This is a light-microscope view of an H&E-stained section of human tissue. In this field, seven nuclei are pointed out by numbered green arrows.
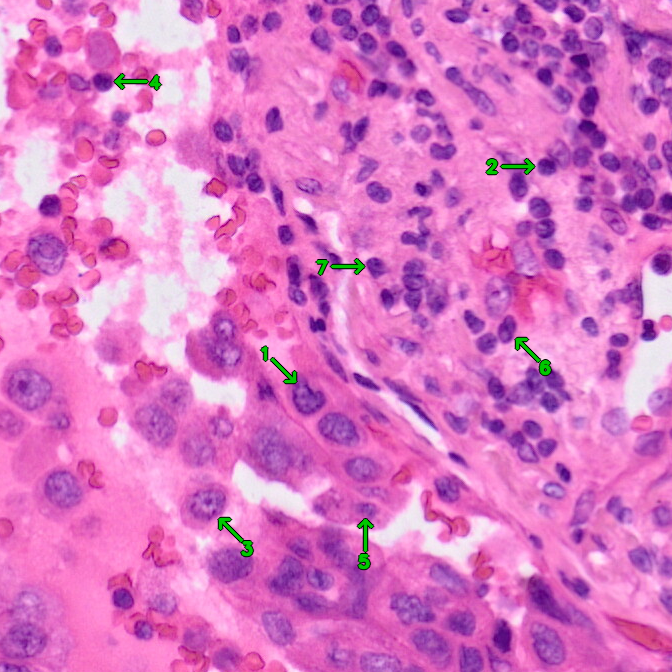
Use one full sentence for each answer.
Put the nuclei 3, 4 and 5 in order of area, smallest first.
The order from the smallest nucleus to the largest is 5, 4, 3.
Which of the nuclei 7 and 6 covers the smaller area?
Nucleus 7 covers less area, with nucleus 6 about 1.5 times as large.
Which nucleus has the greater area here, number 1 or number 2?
It is nucleus 1, which covers about 2.5 times the area of nucleus 2.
